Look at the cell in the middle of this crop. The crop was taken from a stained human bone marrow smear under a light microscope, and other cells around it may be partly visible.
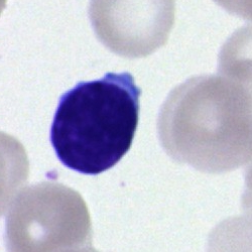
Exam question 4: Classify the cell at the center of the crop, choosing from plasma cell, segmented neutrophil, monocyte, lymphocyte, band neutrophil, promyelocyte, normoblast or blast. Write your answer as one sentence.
The cell of interest, in the center, is a lymphocyte.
